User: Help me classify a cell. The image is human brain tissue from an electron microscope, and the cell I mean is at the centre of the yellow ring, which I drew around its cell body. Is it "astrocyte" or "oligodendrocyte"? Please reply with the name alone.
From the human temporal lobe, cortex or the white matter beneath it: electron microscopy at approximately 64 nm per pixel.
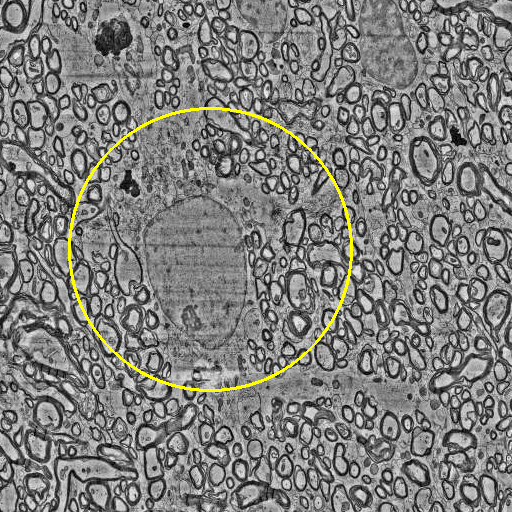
astrocyte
